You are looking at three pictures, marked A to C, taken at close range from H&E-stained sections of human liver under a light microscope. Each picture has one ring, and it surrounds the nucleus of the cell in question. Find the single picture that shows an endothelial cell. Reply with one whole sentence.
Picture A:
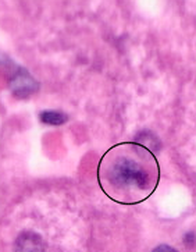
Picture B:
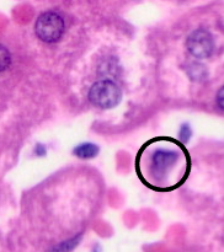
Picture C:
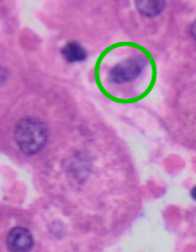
The endothelial cell is the one in picture A.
